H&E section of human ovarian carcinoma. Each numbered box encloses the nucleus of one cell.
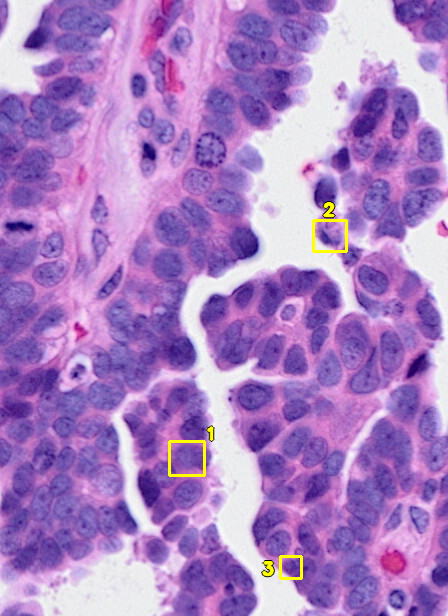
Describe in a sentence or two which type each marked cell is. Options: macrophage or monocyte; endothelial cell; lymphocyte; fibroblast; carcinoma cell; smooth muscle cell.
Cells 1 and 3 are carcinoma cells. Cell 2 is a macrophage or monocyte.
